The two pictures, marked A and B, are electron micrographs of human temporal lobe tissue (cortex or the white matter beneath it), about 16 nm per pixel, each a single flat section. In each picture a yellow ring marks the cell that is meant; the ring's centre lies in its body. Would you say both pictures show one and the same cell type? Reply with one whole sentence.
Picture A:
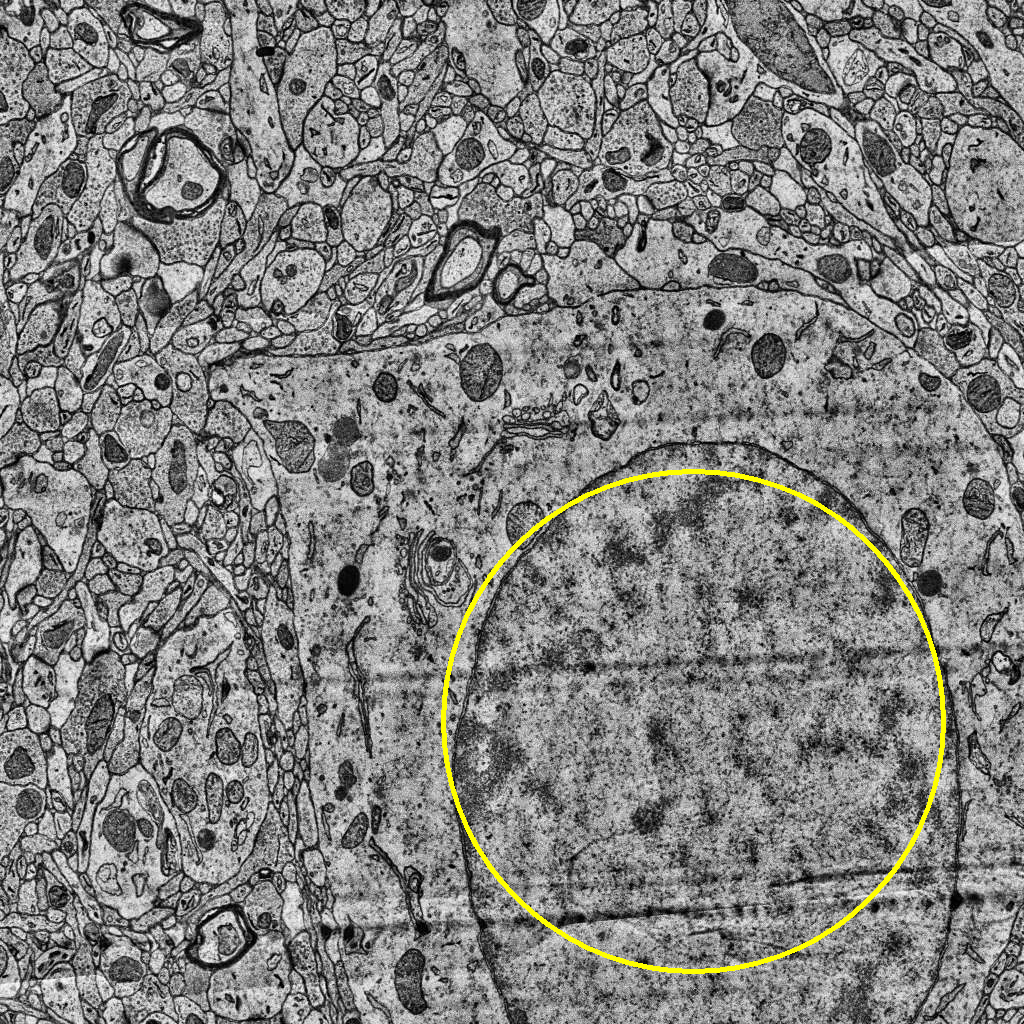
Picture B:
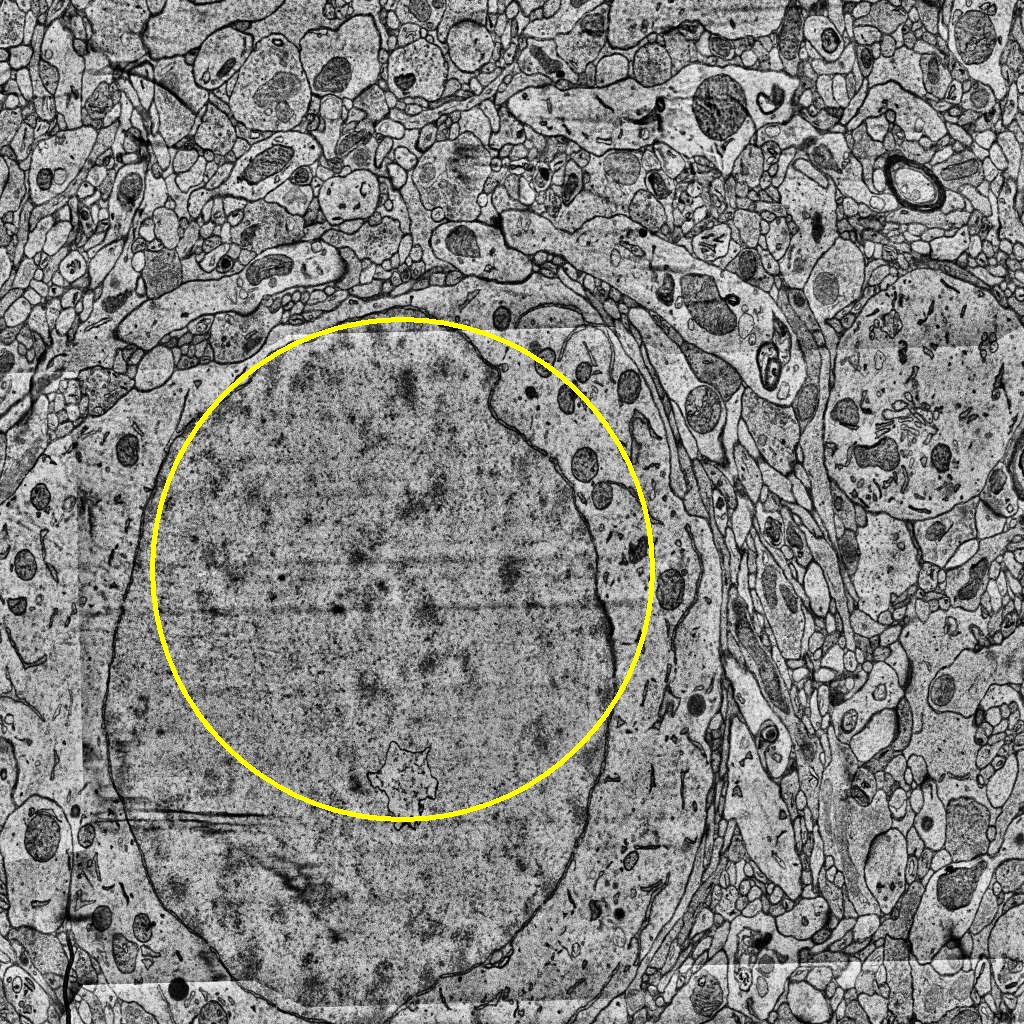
Yes, both are pyramidal neurons.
